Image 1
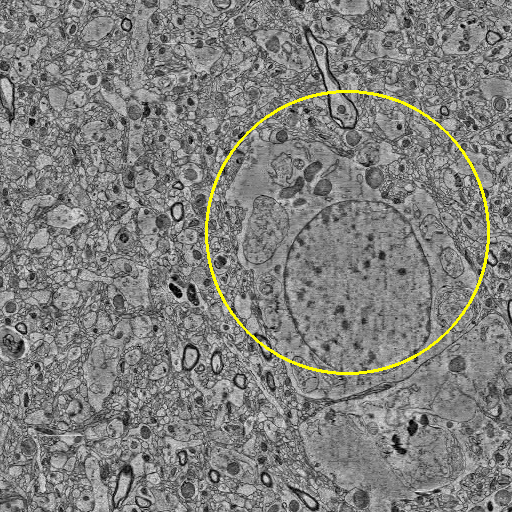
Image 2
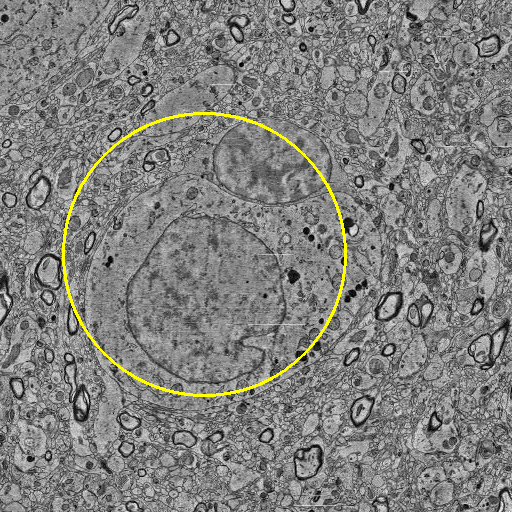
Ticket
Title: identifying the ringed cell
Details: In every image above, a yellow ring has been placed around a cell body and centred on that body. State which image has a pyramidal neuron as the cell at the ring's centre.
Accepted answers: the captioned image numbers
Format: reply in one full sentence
The ring in image 2 is centred on the cell in question.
